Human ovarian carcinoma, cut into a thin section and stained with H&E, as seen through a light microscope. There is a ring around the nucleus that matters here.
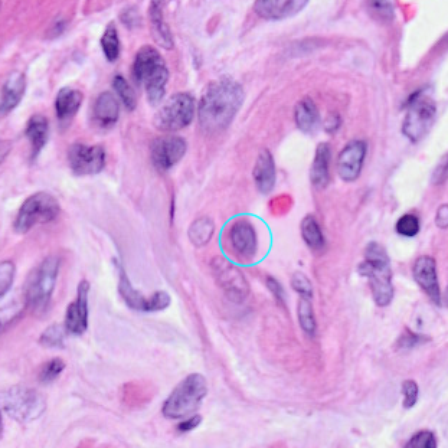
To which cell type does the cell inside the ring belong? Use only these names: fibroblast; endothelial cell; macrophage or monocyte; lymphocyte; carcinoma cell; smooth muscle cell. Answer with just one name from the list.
endothelial cell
